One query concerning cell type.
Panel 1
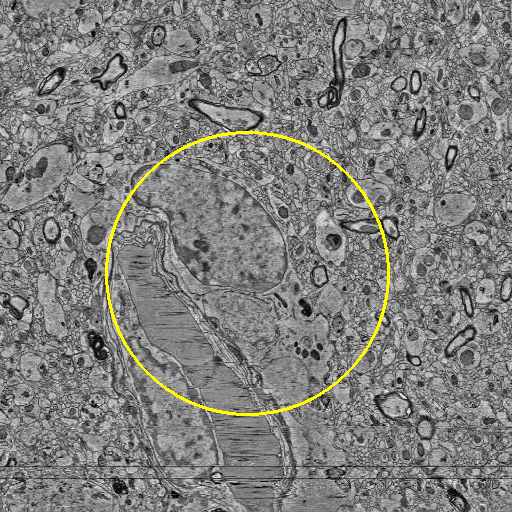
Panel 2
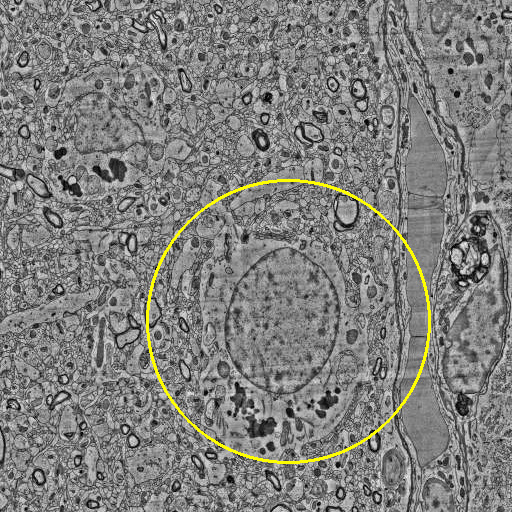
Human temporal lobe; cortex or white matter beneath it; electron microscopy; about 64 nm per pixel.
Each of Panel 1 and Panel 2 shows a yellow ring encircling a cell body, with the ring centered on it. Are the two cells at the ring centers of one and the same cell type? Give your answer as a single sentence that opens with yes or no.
No, the cell centered in Panel 1 and the one in Panel 2 are of two types.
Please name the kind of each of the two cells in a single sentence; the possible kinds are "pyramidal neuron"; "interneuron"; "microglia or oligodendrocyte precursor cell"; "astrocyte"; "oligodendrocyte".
In the first picture the ring is centred on a microglial cell or oligodendrocyte precursor cell, and in the second on an astrocyte.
